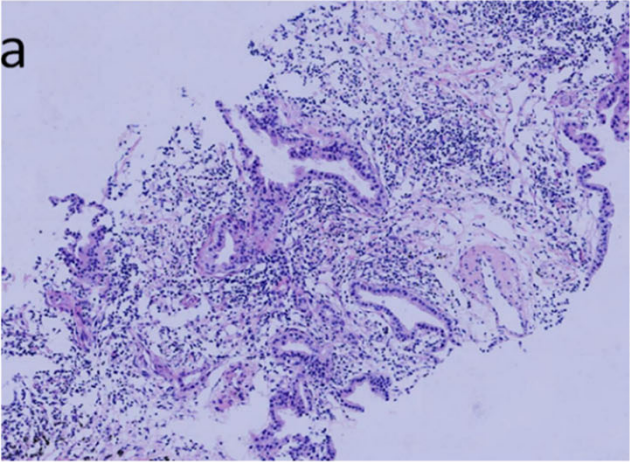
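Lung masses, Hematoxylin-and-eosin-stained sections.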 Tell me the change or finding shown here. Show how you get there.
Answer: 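Significant inflammatory background. Dense sheets of small dark round nuclei fill the stroma between glands.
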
